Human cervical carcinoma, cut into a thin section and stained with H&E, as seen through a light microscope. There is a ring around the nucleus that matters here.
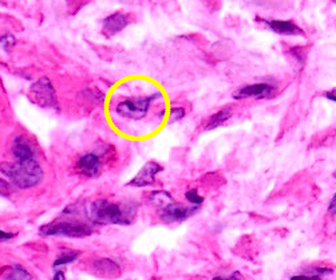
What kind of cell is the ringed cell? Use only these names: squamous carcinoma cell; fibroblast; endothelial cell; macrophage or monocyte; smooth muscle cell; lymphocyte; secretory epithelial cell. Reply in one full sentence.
The correct response here is that the ringed cell is a macrophage or monocyte.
